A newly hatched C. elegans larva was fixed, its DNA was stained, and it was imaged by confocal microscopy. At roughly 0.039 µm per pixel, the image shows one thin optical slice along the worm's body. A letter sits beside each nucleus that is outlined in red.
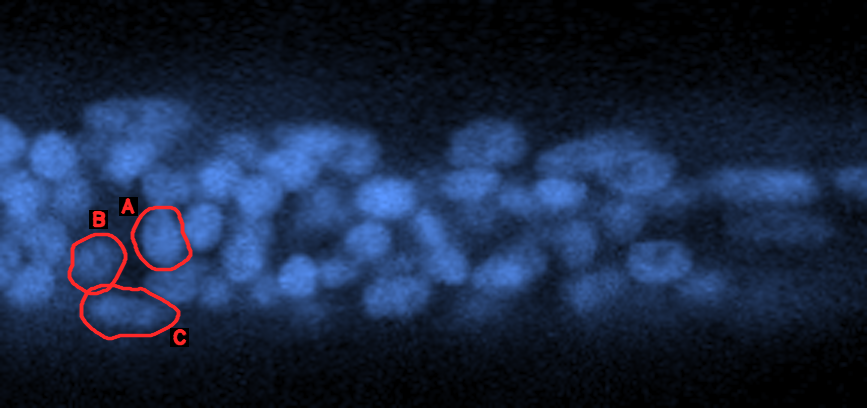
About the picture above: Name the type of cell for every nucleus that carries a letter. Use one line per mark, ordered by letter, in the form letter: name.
A: neuron
B: neuron
C: body wall muscle cell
